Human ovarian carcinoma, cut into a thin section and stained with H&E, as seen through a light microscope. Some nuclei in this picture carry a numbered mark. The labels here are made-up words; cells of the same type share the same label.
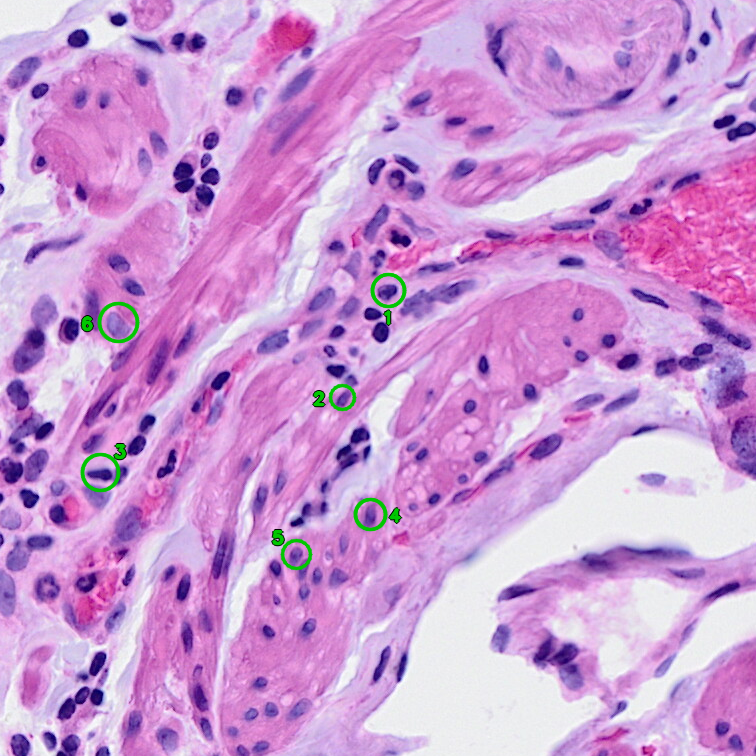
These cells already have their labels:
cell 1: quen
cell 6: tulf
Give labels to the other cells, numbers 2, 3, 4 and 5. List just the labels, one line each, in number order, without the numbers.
tulf
quen
tulf
tulf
